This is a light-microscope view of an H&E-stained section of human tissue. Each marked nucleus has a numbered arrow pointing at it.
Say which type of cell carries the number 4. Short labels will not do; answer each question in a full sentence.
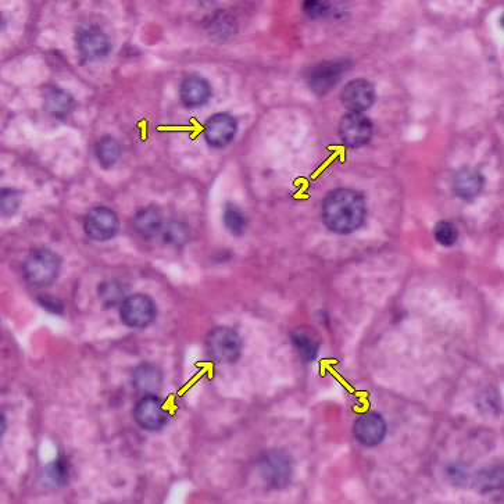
The cell to which the number 4 is assigned is a hepatocyte.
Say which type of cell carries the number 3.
The cell whose nucleus carries the number 3 is an endothelial cell.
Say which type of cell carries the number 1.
Cell 1 in the field of view is a hepatocyte.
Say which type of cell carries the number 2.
Cell 2, as marked in the section, is a hepatocyte.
